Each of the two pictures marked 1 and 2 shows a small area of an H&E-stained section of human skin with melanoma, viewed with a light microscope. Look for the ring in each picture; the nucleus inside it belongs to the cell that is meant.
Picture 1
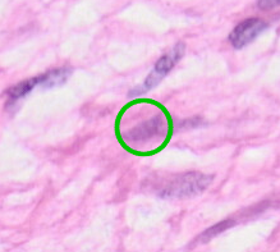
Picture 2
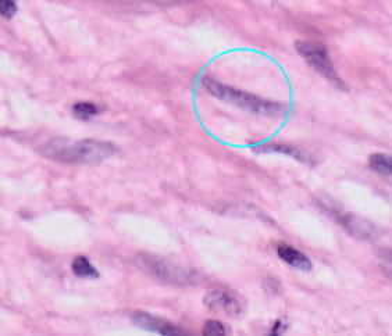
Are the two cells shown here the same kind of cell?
yes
